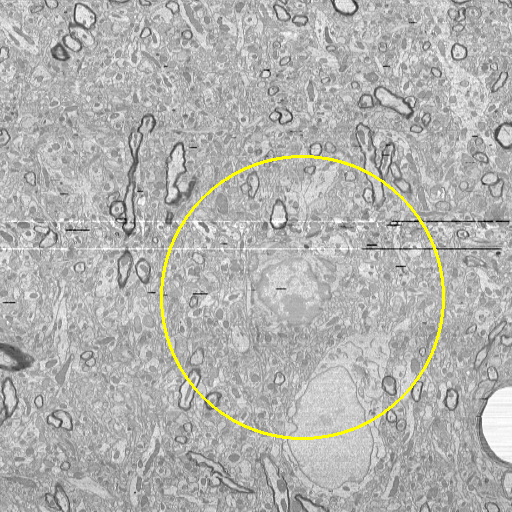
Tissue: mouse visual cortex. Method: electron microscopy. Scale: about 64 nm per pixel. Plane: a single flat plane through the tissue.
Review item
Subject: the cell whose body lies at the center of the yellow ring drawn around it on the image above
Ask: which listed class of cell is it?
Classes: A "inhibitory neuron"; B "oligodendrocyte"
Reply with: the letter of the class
B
